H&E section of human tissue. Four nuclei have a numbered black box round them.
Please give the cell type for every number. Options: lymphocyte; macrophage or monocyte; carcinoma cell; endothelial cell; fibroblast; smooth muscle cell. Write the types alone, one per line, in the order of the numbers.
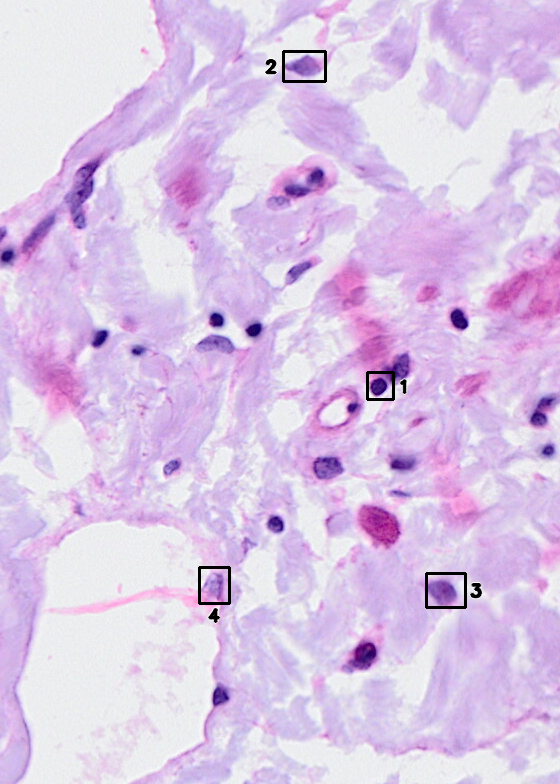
lymphocyte
fibroblast
fibroblast
endothelial cell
